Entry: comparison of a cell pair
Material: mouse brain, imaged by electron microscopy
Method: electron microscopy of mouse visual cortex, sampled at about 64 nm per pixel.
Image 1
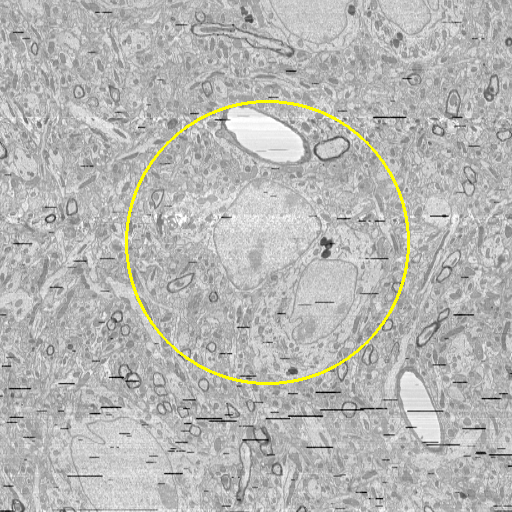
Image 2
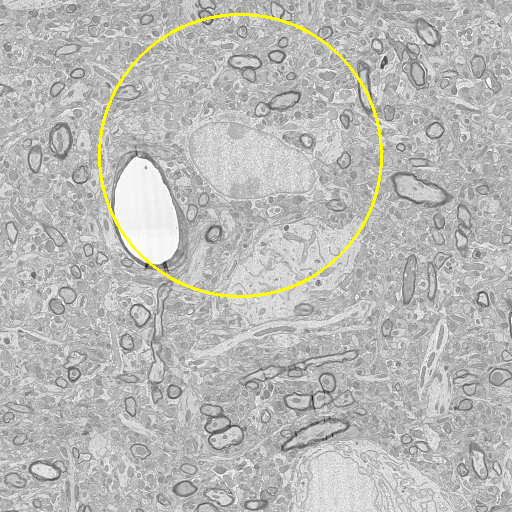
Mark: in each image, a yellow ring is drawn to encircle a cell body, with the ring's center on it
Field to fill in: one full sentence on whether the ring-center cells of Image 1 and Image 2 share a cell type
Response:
Yes, Image 1 and Image 2 each show a ring-center cell of one shared type.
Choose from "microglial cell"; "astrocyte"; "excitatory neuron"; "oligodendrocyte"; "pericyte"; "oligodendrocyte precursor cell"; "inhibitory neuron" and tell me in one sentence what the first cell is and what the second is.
The cell in the first picture is an astrocyte, and so is the one in the second.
